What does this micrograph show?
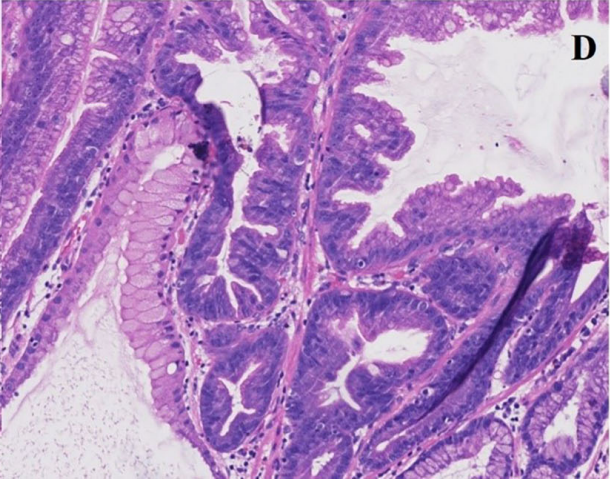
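This high-power view shows glandular epithelium of a serrated adenoma lined by tall columnar cells. The nuclei are elongated, slender, pencil-like and darkly stained purple, crowded within the cells. The cytoplasm is pink, and the glands have small, star-shaped or saw-toothed lumens. Thin strands of pink stroma with scattered small cells separate the glands. At one side a strip of paler epithelium with clear mucin-filled goblet-like cytoplasm is seen, and pale bluish mucus lies in the spaces beside the glands.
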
